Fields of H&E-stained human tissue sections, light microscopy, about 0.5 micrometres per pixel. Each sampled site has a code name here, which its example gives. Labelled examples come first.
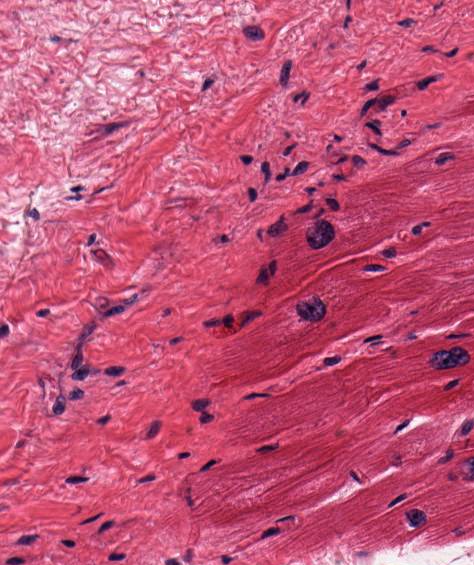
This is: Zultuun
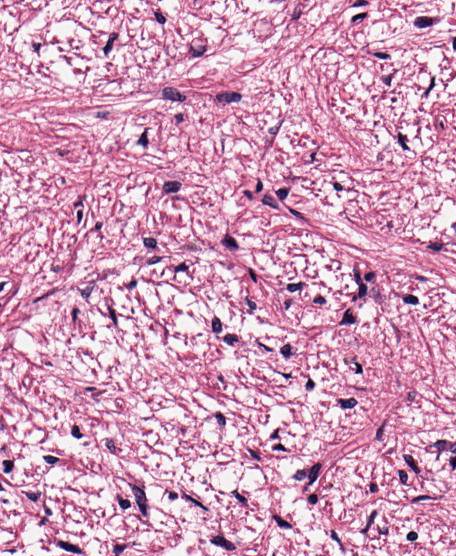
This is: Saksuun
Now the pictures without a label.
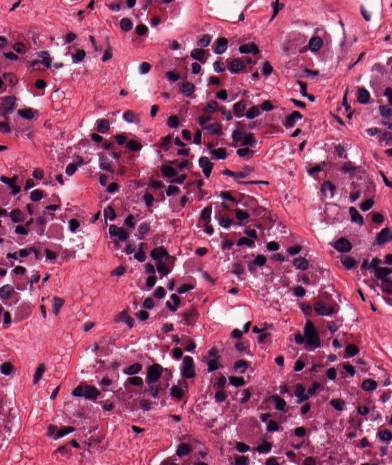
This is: Saksuun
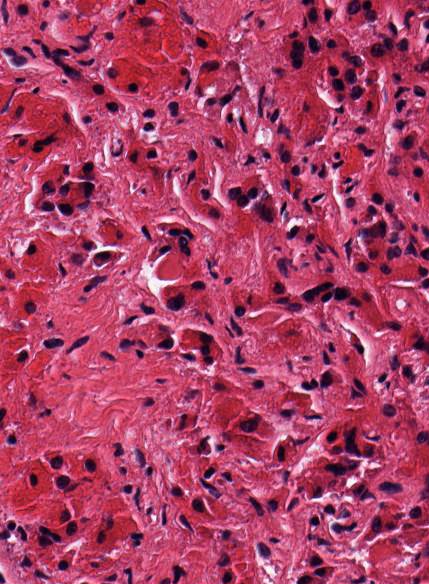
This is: Saksuun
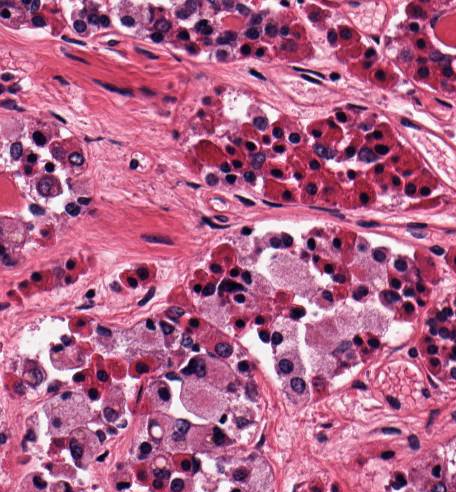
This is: Saksuun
